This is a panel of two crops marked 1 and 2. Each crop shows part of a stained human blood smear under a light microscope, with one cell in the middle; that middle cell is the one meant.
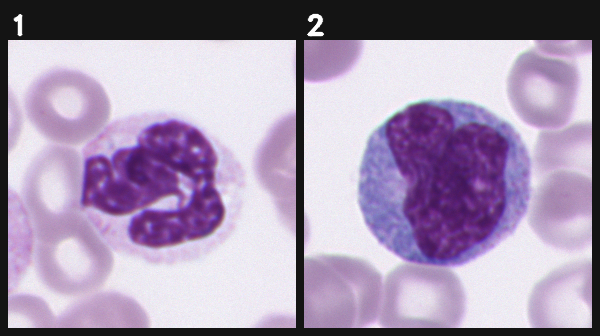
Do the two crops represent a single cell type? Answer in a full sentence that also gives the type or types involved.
No, the assignment should read crop 1, a segmented neutrophil; crop 2, a monocyte.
